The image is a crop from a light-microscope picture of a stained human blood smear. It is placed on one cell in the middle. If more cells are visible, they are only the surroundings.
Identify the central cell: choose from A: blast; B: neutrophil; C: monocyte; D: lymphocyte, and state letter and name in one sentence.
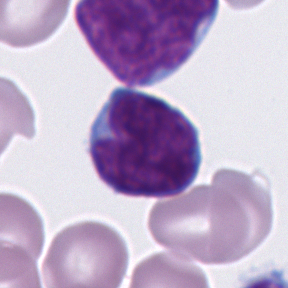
The cell in the middle is a blast, and that makes option A correct.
